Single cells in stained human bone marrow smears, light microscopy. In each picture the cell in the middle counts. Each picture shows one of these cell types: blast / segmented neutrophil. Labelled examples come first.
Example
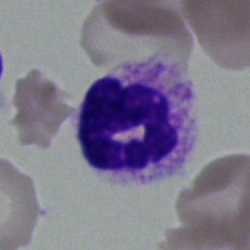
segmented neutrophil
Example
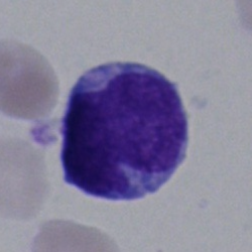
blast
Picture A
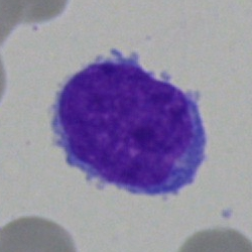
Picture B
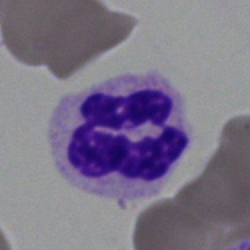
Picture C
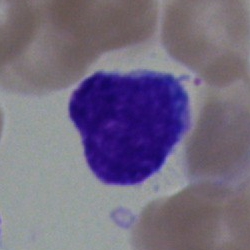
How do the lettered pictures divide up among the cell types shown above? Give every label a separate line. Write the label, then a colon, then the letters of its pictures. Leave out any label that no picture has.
blast: A, C
segmented neutrophil: B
